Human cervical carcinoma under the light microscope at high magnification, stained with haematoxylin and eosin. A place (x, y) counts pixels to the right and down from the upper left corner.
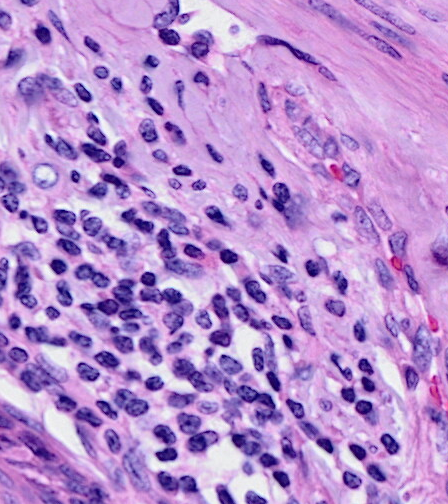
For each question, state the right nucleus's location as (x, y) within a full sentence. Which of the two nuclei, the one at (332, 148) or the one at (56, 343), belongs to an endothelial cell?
The one at (332, 148) is the nucleus belonging to an endothelial cell, not the other one.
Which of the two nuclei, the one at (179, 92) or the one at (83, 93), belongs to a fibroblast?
Of the two nuclei, it is the one at (179, 92) that lies within a fibroblast.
